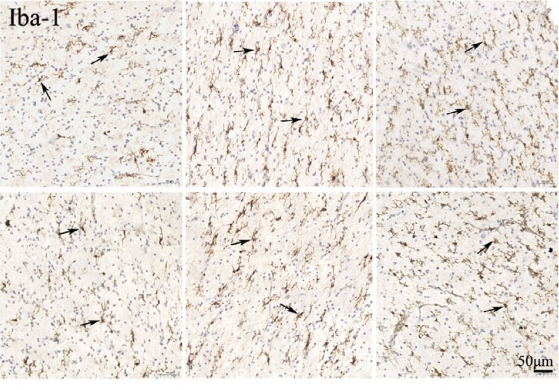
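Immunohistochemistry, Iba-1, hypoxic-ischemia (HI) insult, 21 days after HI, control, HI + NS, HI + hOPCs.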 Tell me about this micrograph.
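These are sections of brain white matter showing scattered brown-stained cells against a pale background with many small blue counterstained nuclei, in two rows of three fields. The brown cells have small bodies from which several fine, branching processes radiate in different directions. In some fields the brown processes are numerous and crowd together into a loose meshwork, while in others the brown cells are sparser and more widely spaced. Arrows point to individual brown branched cells lying among the blue nuclei of the surrounding tissue.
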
